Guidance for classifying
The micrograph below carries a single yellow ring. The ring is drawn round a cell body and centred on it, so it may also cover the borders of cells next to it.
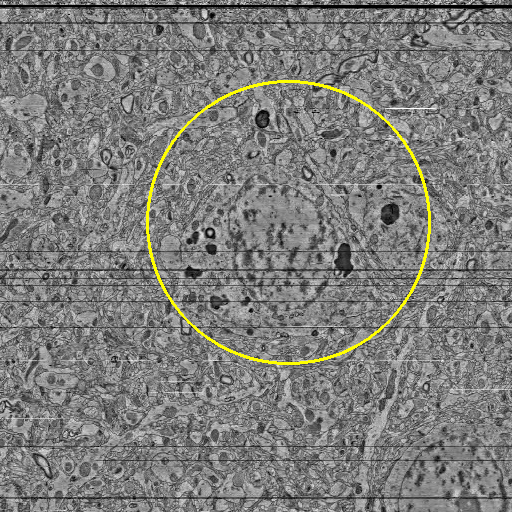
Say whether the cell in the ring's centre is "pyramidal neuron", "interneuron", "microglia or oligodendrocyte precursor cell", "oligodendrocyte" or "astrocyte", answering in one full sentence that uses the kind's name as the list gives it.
Within the yellow ring, an interneuron is the cell whose body sits at the centre.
